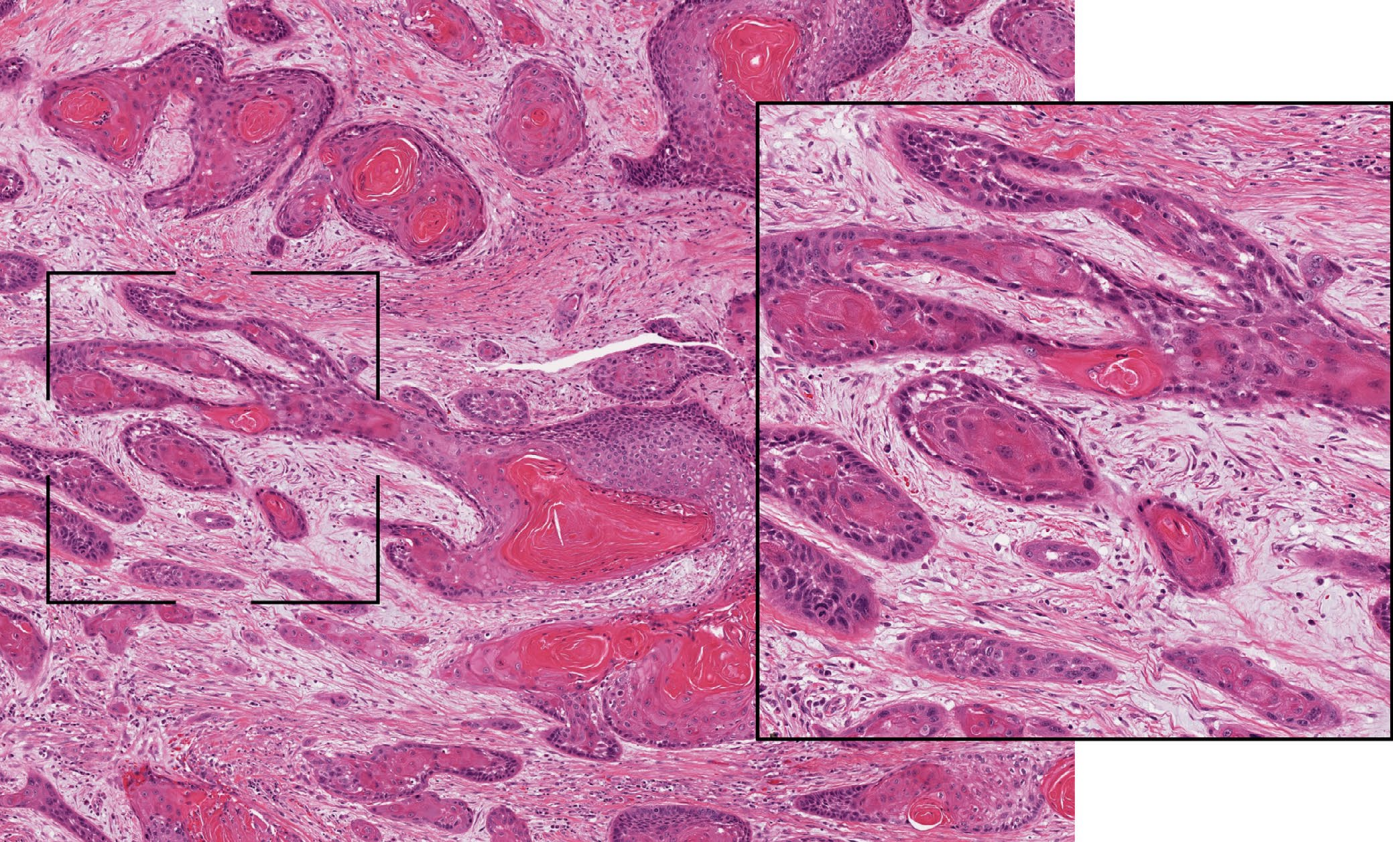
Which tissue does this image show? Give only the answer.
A: Squamous cells carcinoma.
